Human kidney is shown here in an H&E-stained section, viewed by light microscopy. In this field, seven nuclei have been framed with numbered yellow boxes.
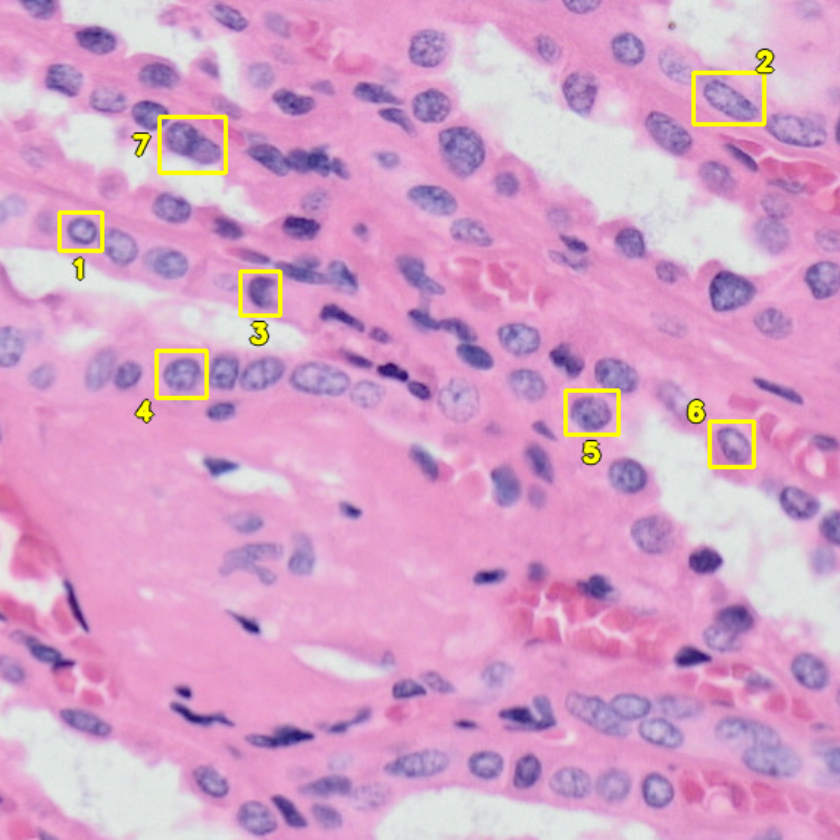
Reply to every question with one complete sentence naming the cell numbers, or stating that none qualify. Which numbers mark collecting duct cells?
The cells carrying labels 1, 2, 3 and 4 are collecting duct cells.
